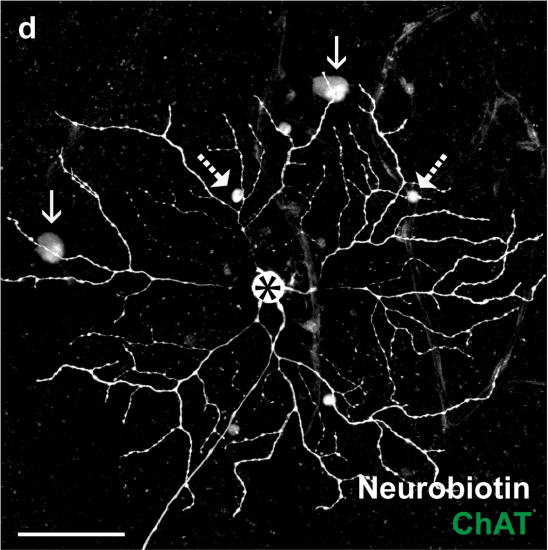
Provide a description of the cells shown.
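A tracer-filled retinal ganglion cell seen from the face of the retina, with a cell body in the centre from which several thick primary dendrites radiate and branch repeatedly into a wide, roughly circular field of thin, beaded dendrites. Scattered within this field lie other tracer-filled cell bodies, a few large ones near the edge of the field and several small, round ones lying among the dendrites.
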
